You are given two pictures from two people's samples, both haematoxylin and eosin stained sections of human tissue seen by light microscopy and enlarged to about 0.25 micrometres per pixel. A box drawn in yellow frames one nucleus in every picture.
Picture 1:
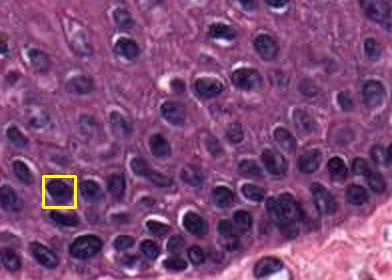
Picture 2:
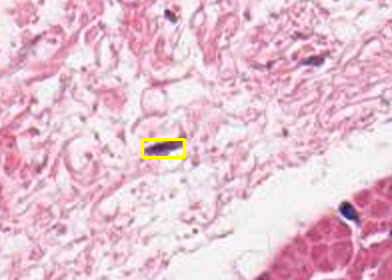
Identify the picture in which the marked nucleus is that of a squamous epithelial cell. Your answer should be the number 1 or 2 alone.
1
